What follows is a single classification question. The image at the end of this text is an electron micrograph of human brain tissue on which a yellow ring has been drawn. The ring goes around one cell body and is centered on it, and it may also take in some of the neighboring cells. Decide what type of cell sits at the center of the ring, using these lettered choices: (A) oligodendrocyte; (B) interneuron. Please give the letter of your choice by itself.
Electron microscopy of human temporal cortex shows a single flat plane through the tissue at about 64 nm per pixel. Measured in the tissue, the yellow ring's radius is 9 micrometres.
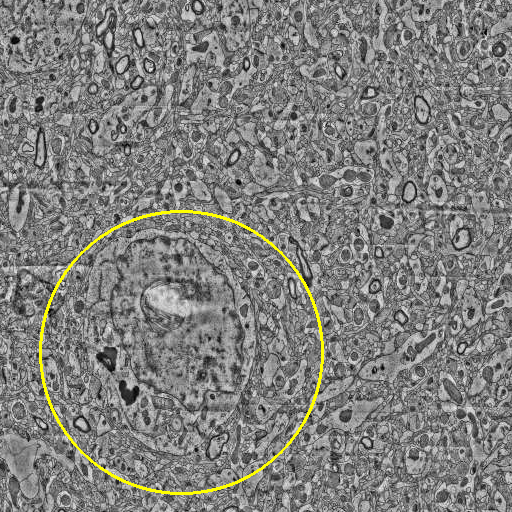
B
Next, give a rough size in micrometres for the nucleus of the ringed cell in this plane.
In this plane the nucleus measures roughly 11 by 8 micrometers.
